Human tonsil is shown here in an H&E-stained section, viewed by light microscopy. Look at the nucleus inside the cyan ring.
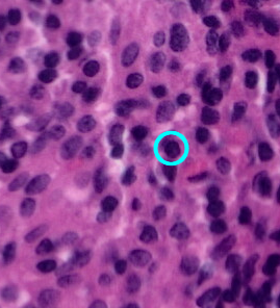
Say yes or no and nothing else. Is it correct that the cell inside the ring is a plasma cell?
yes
